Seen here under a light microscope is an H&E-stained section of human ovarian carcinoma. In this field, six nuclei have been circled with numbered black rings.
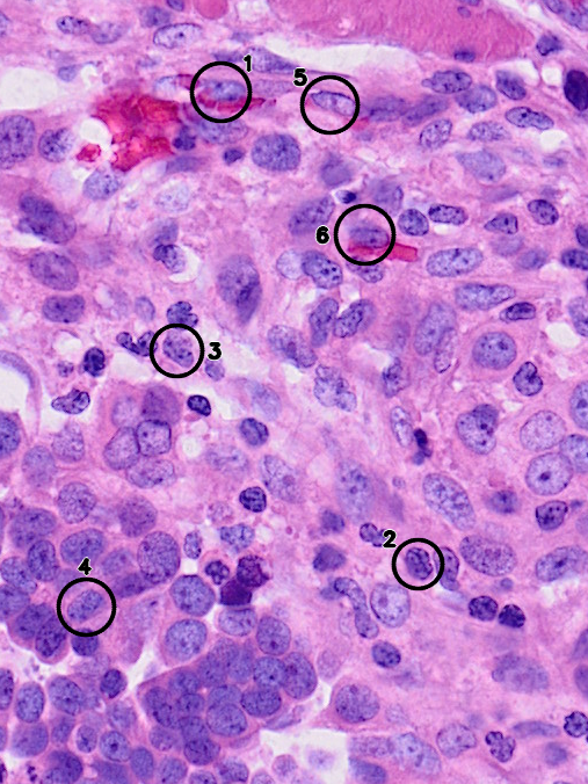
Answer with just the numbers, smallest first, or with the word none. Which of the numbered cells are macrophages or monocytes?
3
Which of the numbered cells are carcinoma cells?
4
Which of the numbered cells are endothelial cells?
1, 5, 6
